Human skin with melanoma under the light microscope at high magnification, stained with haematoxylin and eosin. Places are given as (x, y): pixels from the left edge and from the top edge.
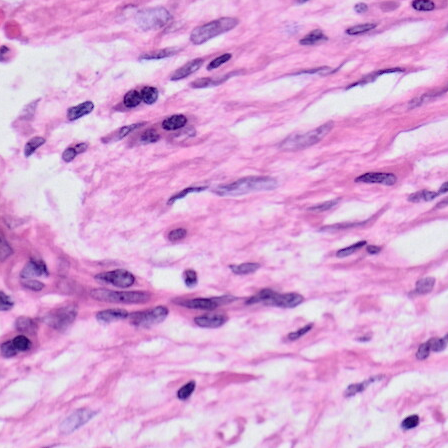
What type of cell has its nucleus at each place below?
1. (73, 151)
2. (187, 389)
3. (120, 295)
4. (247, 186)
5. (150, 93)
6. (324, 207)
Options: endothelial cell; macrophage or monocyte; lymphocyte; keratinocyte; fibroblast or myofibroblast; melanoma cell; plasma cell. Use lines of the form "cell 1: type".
cell 1: macrophage or monocyte
cell 2: lymphocyte
cell 3: endothelial cell
cell 4: fibroblast or myofibroblast
cell 5: plasma cell
cell 6: fibroblast or myofibroblast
